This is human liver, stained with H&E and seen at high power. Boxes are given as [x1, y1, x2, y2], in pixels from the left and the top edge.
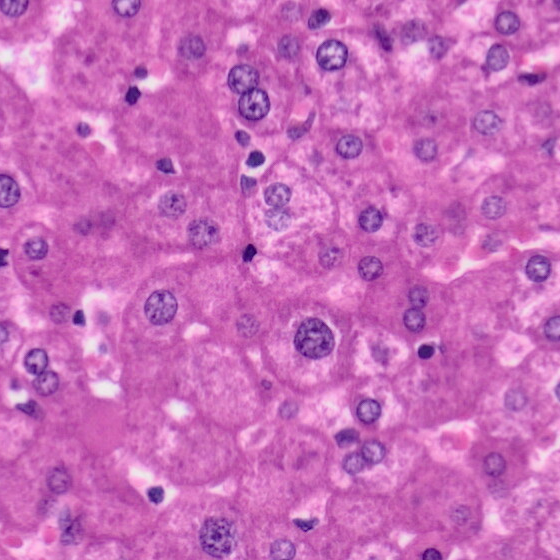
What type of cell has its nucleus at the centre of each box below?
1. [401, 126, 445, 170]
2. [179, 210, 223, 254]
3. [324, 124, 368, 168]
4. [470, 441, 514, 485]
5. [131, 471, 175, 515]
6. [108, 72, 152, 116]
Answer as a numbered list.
1. hepatocyte
2. hepatocyte
3. hepatocyte
4. hepatocyte
5. lymphocyte
6. fibroblast or stellate cell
